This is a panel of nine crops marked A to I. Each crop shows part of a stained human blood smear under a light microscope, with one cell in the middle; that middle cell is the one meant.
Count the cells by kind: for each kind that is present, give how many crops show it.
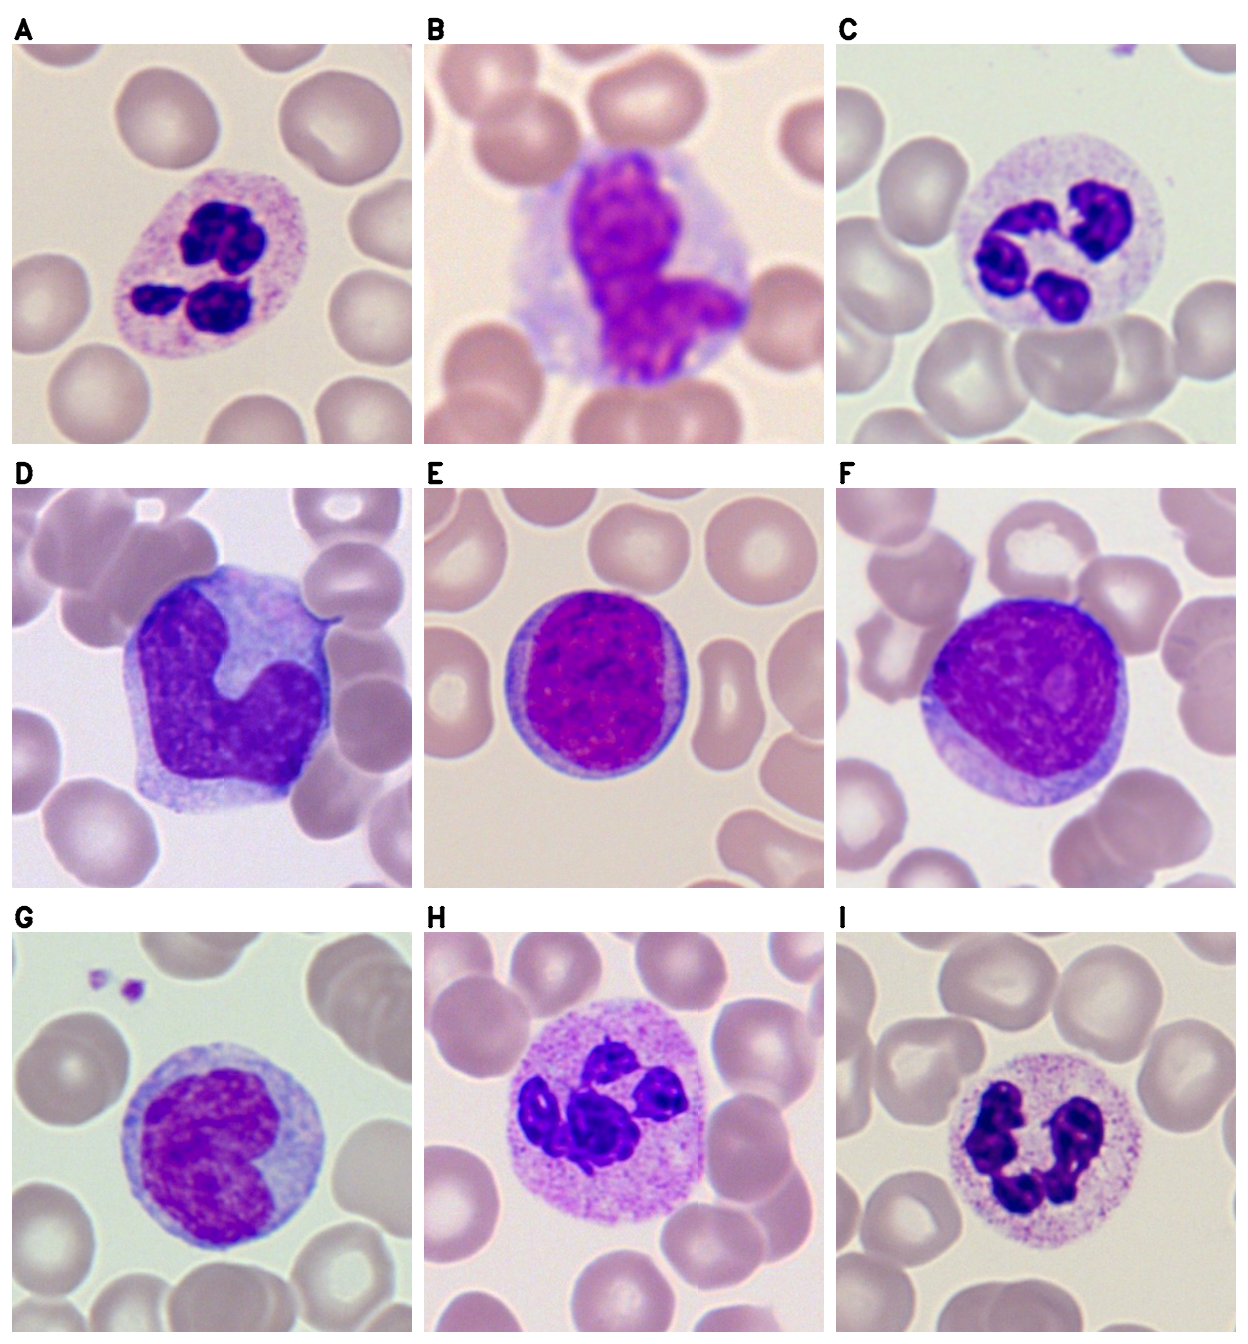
neutrophil: 4
monocyte: 3
blast: 2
